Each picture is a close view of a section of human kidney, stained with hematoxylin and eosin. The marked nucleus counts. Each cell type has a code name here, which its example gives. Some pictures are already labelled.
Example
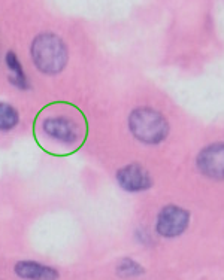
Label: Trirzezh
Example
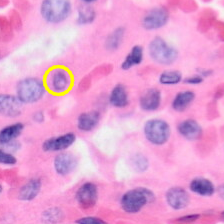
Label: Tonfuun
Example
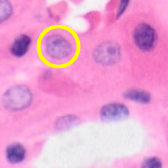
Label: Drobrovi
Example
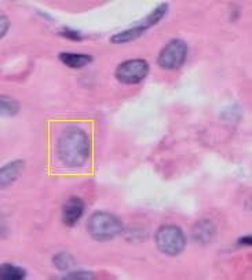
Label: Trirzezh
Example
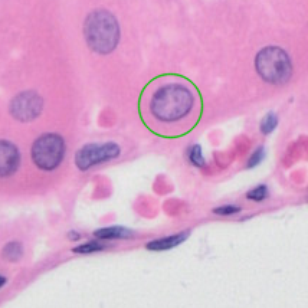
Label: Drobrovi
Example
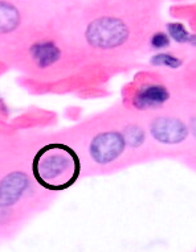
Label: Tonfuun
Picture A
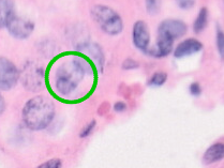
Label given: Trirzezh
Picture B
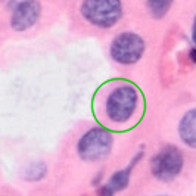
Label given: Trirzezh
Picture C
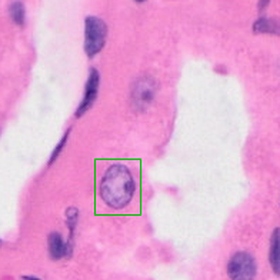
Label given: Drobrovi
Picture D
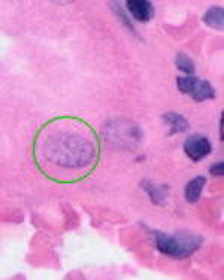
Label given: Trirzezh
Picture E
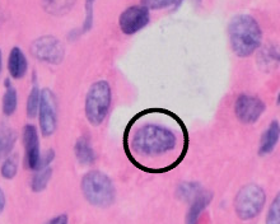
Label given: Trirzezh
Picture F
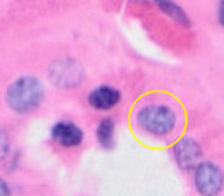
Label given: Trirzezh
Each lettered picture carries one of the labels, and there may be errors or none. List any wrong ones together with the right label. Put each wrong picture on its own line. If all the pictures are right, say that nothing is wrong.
A is labelled Trirzezh; correct label: Tonfuun
D is labelled Trirzezh; correct label: Drobrovi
